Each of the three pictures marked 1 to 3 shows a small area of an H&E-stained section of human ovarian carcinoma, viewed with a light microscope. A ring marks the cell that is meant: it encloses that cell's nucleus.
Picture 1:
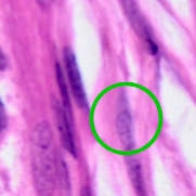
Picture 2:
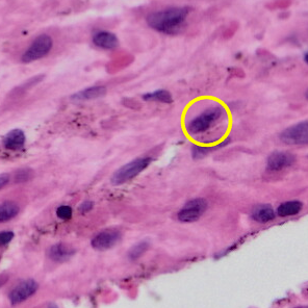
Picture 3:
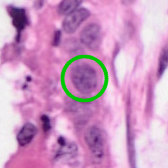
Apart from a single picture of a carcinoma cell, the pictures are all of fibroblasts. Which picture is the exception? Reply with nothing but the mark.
3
